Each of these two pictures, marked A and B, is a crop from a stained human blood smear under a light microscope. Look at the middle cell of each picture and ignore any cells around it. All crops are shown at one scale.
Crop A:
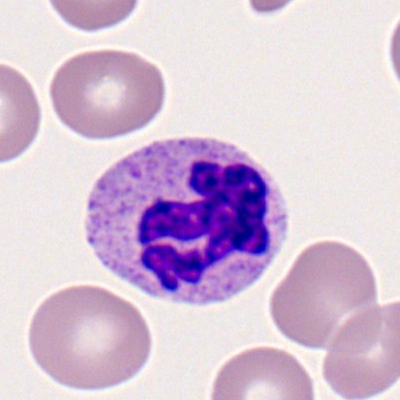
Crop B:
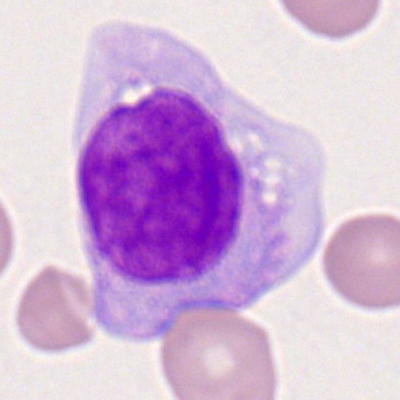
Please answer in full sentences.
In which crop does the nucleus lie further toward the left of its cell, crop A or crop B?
It is the nucleus in crop B that lies further toward the left of its cell.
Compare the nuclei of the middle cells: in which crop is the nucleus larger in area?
It is the nucleus in crop B, about 2 times as large in area as the one in crop A.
